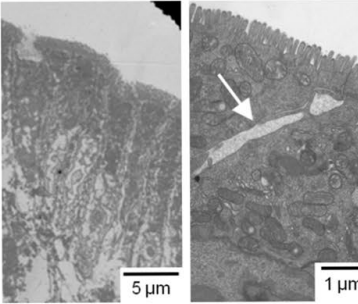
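These are intestinal epithelial cells seen by electron microscopy, with a brush border of densely packed microvilli along the top edge and many mitochondria in the cytoplasm below. Between two neighbouring cells the intercellular space is opened into a long pale gap, so the cells are no longer closely apposed there.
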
